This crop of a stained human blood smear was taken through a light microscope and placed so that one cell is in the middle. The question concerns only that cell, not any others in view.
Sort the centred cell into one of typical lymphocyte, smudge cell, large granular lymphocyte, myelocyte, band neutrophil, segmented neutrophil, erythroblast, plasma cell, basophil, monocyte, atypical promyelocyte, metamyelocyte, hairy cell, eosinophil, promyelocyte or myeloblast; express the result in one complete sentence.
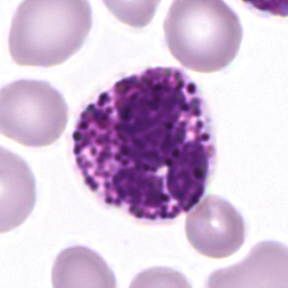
The central element of this crop is a cell, namely a basophil.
